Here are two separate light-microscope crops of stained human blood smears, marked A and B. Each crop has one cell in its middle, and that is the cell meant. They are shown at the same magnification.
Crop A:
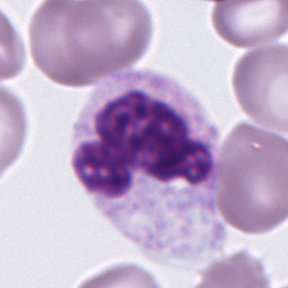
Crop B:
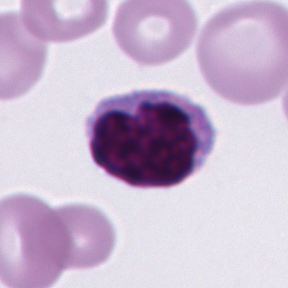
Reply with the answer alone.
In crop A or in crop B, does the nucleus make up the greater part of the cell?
B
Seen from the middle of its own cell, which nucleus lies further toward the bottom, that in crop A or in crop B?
B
